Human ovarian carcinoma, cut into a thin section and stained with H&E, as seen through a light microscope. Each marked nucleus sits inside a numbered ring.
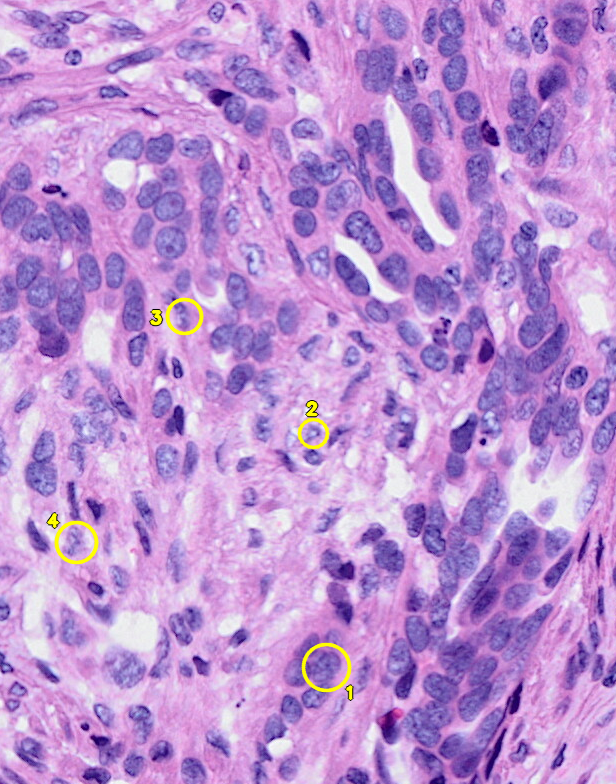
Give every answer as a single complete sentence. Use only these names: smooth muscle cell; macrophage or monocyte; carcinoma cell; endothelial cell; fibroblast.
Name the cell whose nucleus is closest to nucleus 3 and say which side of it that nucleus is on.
A fibroblast lies closest, above and to the left of nucleus 3.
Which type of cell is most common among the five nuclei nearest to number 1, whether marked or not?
Carcinoma cells make up most of the five nuclei closest to number 1.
